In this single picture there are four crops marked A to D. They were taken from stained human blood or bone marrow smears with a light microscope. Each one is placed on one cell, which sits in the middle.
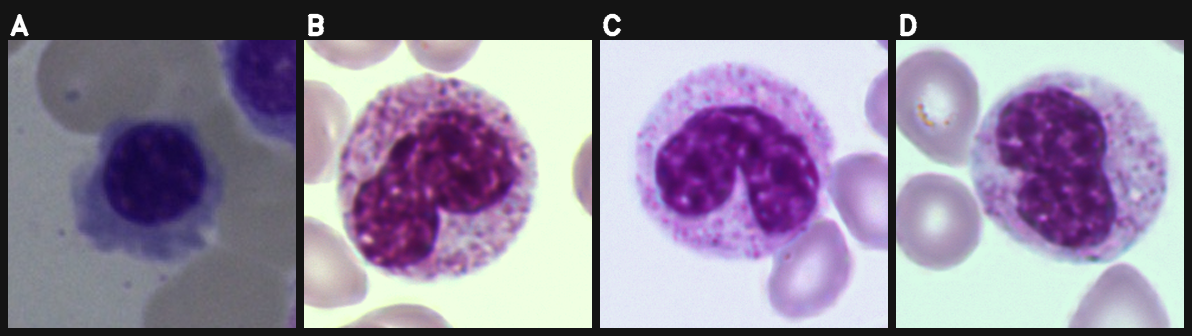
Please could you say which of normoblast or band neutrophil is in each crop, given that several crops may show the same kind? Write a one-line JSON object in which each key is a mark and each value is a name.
{"A": "normoblast", "B": "band neutrophil", "C": "band neutrophil", "D": "band neutrophil"}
